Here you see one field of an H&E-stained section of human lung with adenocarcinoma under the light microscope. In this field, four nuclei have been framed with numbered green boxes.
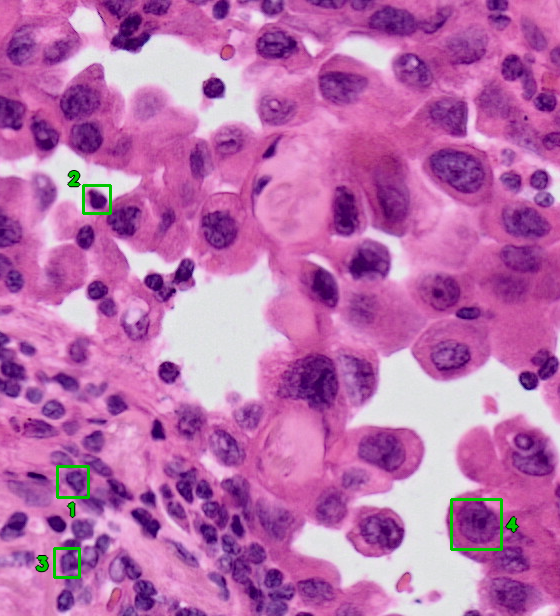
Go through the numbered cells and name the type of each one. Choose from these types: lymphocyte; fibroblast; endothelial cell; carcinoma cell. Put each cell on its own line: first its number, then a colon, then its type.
1: lymphocyte
2: lymphocyte
3: lymphocyte
4: carcinoma cell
